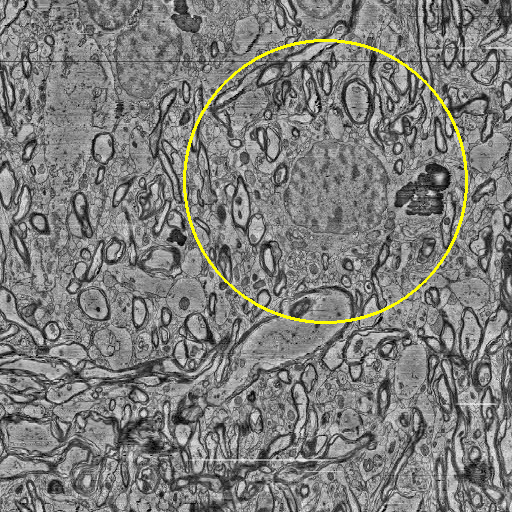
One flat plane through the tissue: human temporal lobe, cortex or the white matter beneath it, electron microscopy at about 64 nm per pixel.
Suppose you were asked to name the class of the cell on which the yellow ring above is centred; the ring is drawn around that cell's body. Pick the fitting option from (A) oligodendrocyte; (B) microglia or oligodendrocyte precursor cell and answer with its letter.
A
